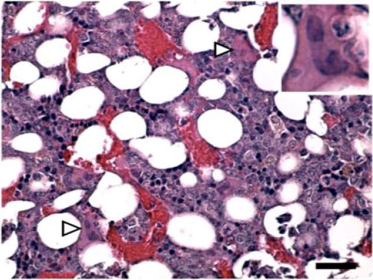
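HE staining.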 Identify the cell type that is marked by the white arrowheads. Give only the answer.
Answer: megakaryocytes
